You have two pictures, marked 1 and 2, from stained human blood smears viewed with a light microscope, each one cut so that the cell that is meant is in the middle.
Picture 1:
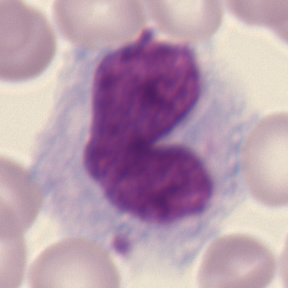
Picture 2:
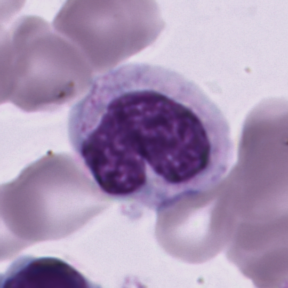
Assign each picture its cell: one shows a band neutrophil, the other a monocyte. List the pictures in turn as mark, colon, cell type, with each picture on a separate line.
1: monocyte
2: band neutrophil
